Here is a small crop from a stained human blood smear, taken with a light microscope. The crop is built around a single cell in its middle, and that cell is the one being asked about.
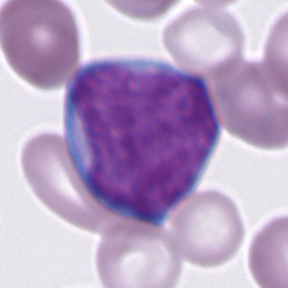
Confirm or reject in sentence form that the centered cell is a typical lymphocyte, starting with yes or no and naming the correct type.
No, the central cell is designated a myeloblast and not a typical lymphocyte.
